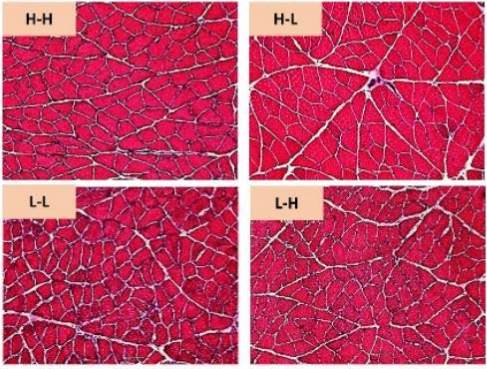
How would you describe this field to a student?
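The fibers are polygonal and packed closely against each other, with only thin pale strands of connective tissue between them. Small dark nuclei sit at the edges of the fibers rather than in their centres. The fiber sizes vary between the four fields, with some fields showing fibers that look visibly smaller and more numerous per area than others.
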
